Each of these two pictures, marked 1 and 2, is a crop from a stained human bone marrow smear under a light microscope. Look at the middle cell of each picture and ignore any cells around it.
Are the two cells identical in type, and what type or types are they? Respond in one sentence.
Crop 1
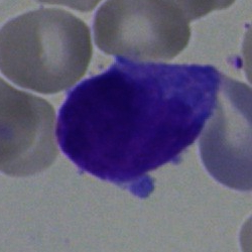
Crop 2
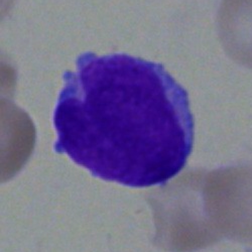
Yes, both crops show a cell each, and these are blasts.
